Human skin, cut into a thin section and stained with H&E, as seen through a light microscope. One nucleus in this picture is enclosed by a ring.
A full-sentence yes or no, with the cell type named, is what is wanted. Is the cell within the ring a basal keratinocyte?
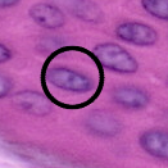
No, the cell within the ring is not a basal keratinocyte; the correct answer is a suprabasal keratinocyte.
